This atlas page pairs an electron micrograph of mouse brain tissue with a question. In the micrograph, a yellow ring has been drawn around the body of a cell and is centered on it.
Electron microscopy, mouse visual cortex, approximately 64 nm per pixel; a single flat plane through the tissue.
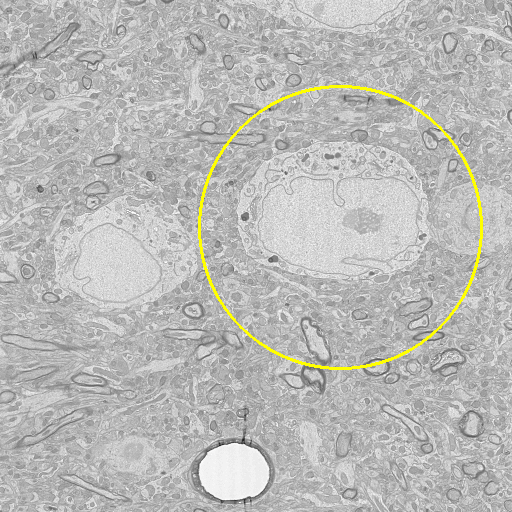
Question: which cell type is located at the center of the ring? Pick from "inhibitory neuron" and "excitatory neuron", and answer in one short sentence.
Located at the center of the ring is an inhibitory neuron.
